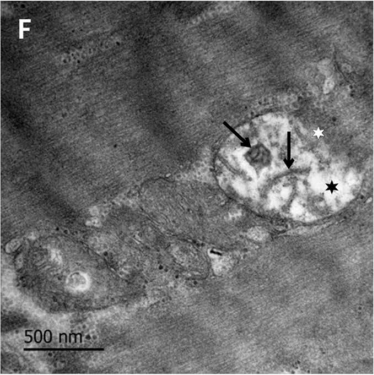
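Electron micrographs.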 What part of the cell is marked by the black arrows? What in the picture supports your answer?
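The arrows point to small curled membrane pieces inside a pale, rounded organelle. The rest of that organelle's interior is largely empty.
Hence: remnants of cristae structures.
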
